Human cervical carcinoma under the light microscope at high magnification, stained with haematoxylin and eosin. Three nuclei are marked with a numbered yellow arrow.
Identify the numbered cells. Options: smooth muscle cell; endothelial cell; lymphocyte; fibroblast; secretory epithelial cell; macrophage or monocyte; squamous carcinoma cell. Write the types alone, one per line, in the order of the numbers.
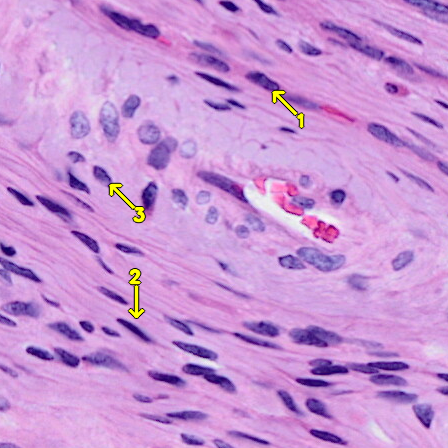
endothelial cell
fibroblast
fibroblast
